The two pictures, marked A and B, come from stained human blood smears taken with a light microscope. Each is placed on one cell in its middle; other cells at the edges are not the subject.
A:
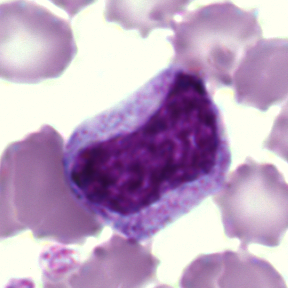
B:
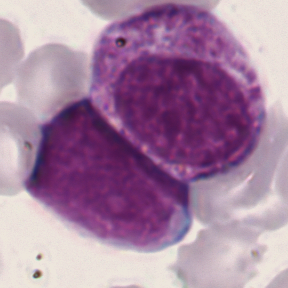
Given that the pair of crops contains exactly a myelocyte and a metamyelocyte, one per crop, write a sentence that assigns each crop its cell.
In crop A the cell is a metamyelocyte, while in crop B it is a myelocyte.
